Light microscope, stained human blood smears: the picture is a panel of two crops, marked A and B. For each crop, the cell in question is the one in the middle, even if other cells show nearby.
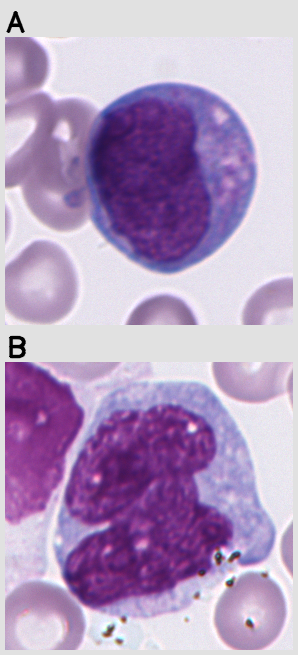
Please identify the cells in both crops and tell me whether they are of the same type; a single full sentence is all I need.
No, the middle of crop A shows a promyelocyte, and the middle of crop B shows a monocyte.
